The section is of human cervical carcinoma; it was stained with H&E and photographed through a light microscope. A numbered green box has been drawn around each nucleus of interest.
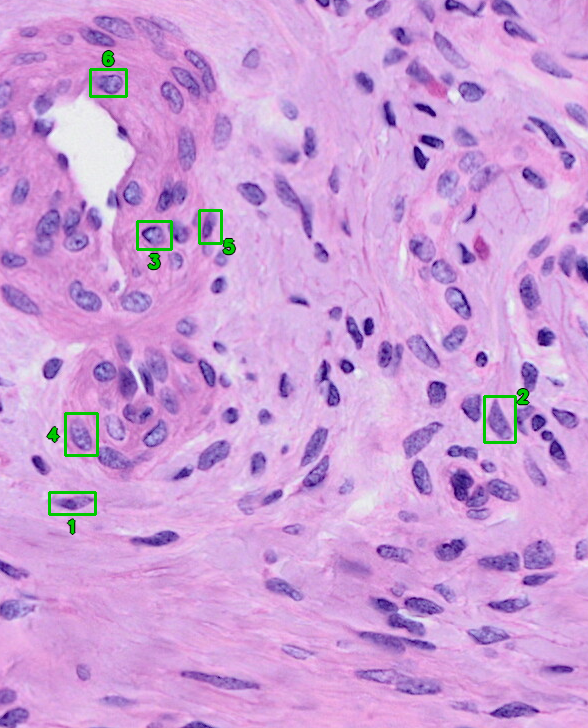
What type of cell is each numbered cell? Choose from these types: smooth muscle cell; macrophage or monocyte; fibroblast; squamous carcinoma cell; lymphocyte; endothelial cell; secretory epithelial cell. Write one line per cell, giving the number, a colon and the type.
1: fibroblast
2: fibroblast
3: smooth muscle cell
4: smooth muscle cell
5: smooth muscle cell
6: smooth muscle cell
